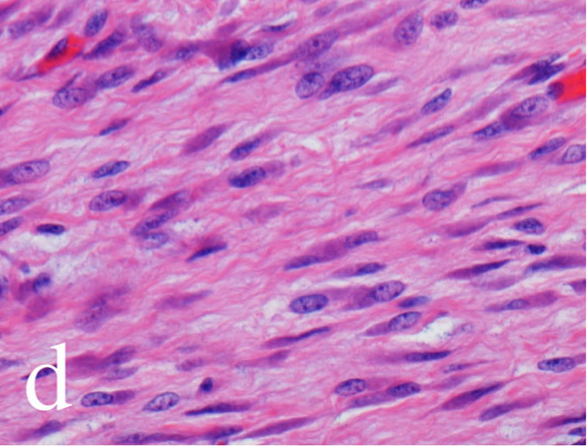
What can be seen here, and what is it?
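Spindle cell tumor at high power. Elongated neoplastic cells lie roughly parallel in a pink fibrous stroma. Nuclei are oval to elongate, some plump, with fine chromatin and small nucleoli, and they vary in size and shape. A few nuclei are darker and more irregular. Scattered red blood cells lie between the cells, and small pale clear spaces occur in the stroma.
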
